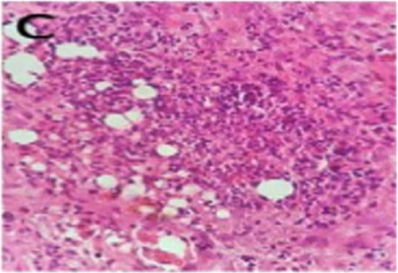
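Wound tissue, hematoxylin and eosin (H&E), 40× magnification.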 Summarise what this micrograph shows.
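Round, empty clear spaces of varying size are scattered among the cells, mostly toward the left and lower part. At the lower edge the cells thin out into looser pink stroma, with a few brownish granules near the lower left.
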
